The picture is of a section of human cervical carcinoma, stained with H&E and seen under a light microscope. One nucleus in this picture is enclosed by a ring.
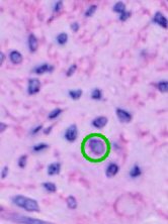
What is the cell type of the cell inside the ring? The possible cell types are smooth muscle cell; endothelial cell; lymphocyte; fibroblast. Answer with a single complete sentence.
As a matter of cell type, the cell inside the ring is a smooth muscle cell.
